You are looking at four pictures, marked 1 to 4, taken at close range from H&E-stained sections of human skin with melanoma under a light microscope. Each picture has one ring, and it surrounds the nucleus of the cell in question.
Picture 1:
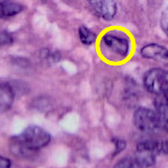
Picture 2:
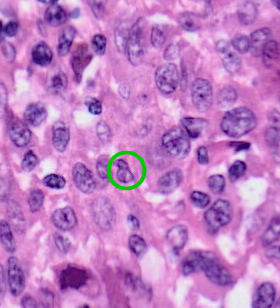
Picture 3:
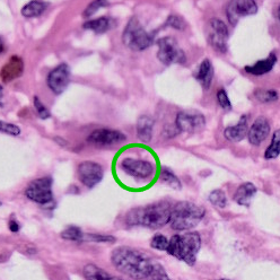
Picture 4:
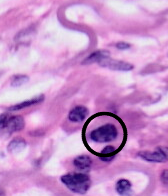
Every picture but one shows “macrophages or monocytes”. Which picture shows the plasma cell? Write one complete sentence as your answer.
The plasma cell is the one in picture 4.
